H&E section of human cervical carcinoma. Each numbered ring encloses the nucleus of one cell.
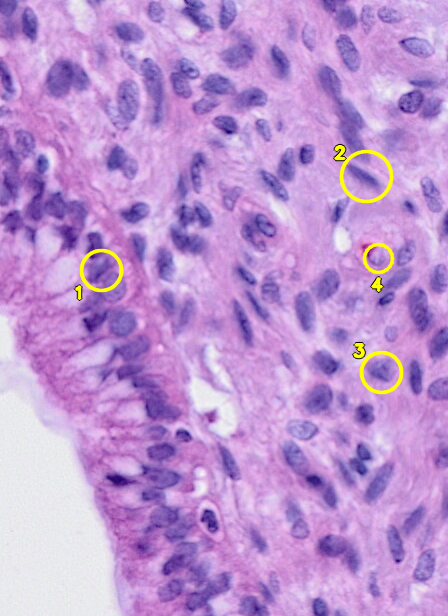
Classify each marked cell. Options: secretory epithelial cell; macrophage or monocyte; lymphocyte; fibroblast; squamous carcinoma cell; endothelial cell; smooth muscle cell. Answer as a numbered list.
1. secretory epithelial cell
2. fibroblast
3. fibroblast
4. endothelial cell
